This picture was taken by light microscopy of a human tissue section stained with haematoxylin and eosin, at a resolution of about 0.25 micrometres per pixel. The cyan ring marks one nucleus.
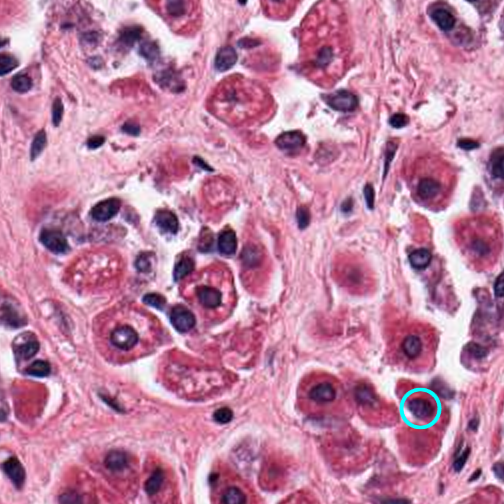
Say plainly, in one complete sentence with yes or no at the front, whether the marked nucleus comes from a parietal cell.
Yes, the marked nucleus is that of a parietal cell in this section.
